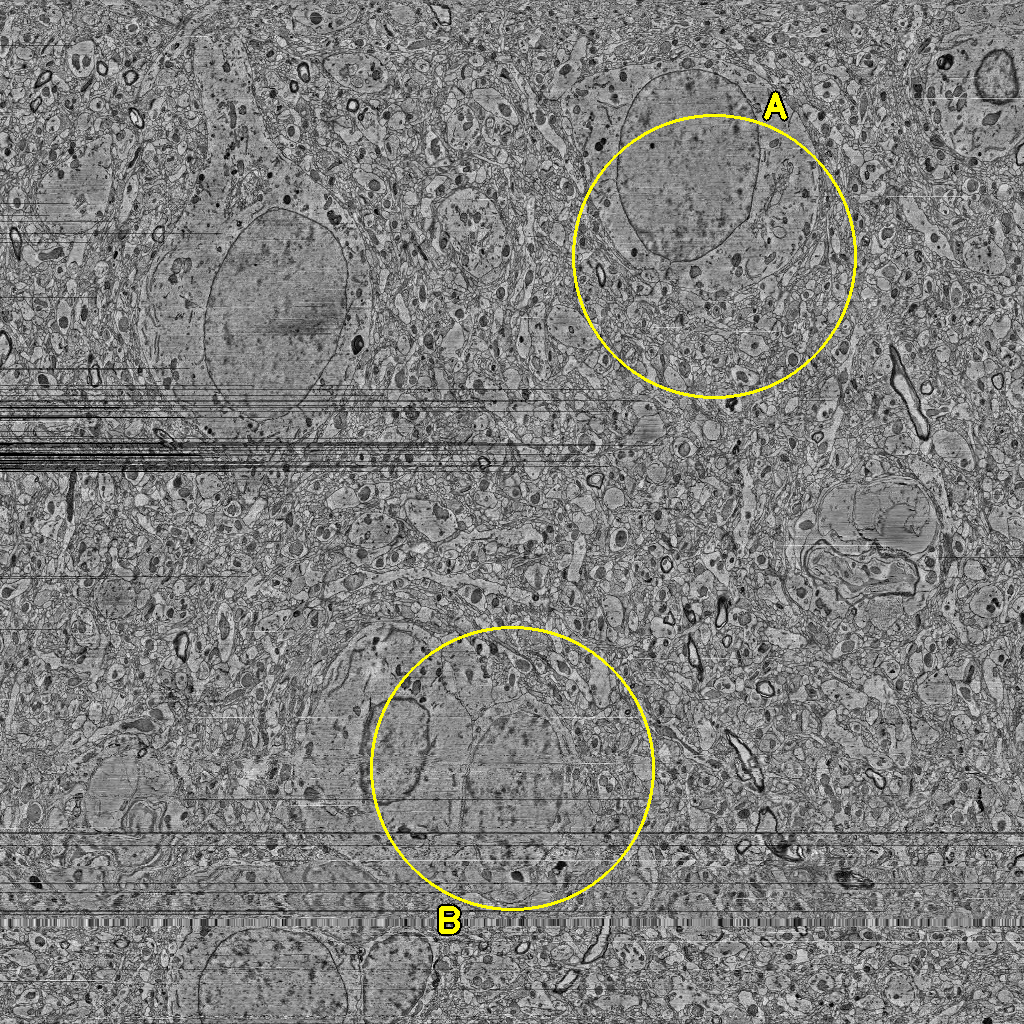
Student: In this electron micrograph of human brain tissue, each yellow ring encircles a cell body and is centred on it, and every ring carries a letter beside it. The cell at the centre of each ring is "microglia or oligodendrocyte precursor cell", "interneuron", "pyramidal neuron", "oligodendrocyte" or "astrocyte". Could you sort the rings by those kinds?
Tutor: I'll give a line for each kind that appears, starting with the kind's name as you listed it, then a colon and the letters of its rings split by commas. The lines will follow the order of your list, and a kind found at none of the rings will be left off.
interneuron: B
pyramidal neuron: A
